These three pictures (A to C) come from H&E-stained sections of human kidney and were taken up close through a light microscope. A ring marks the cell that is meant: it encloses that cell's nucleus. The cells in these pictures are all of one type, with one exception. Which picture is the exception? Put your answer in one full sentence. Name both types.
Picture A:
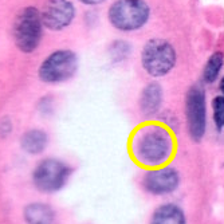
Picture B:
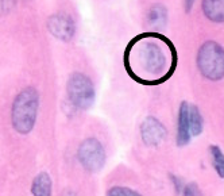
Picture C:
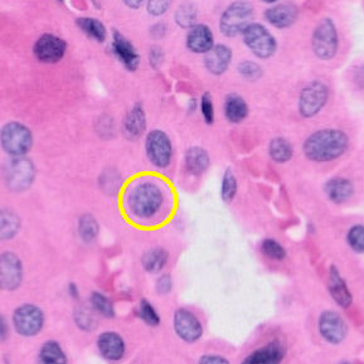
The others show “loop of Henle or distal tubule cells”, but picture A shows a collecting duct cell.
